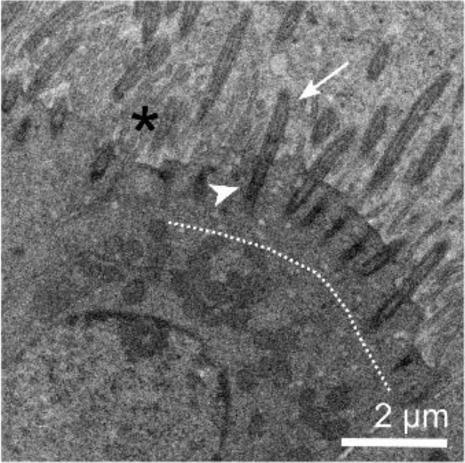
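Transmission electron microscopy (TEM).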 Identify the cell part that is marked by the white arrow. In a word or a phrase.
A: Cilia.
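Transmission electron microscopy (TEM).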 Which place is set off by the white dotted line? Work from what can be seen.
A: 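Apical region of the cells. Projections rise from the cell just beyond the line.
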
